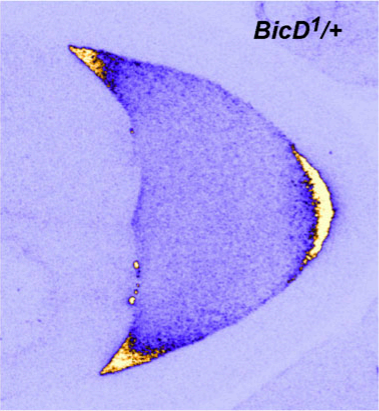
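A crescent-shaped oocyte is seen, its concave left-hand edge ending in two pointed tips above and below. Bright yellow wedges sit at both left-hand tips, while another bright crescent lines the rounded right-hand end.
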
